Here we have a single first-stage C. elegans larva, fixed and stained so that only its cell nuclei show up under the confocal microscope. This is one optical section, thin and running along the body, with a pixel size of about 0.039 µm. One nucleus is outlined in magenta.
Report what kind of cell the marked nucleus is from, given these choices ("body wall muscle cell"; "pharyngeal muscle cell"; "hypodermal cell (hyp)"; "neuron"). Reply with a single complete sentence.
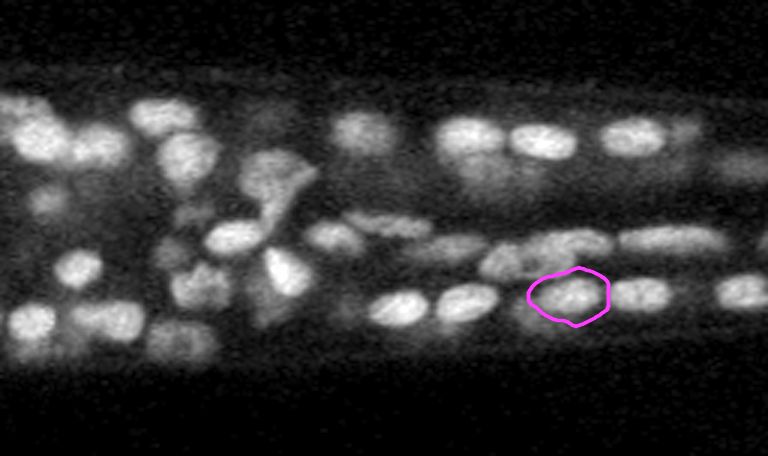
It belongs to a hypodermal cell (hyp).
